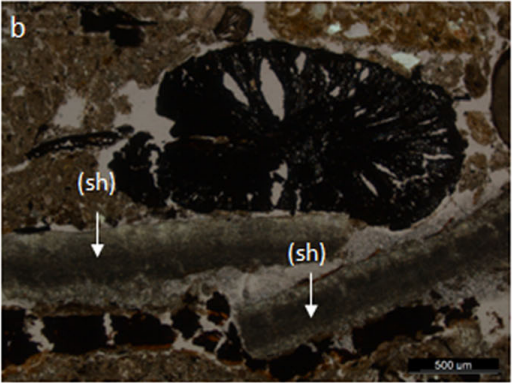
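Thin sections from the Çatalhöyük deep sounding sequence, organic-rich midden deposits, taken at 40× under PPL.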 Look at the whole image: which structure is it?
Charred plant material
